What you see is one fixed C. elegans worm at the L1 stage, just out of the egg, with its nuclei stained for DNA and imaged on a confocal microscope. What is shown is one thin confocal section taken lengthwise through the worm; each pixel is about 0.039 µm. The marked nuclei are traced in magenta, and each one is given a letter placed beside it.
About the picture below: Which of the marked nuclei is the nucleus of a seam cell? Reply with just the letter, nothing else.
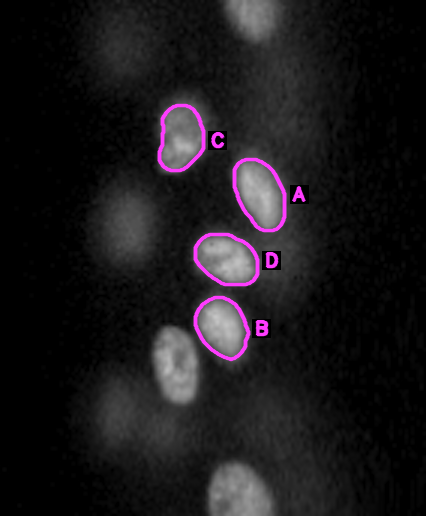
D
